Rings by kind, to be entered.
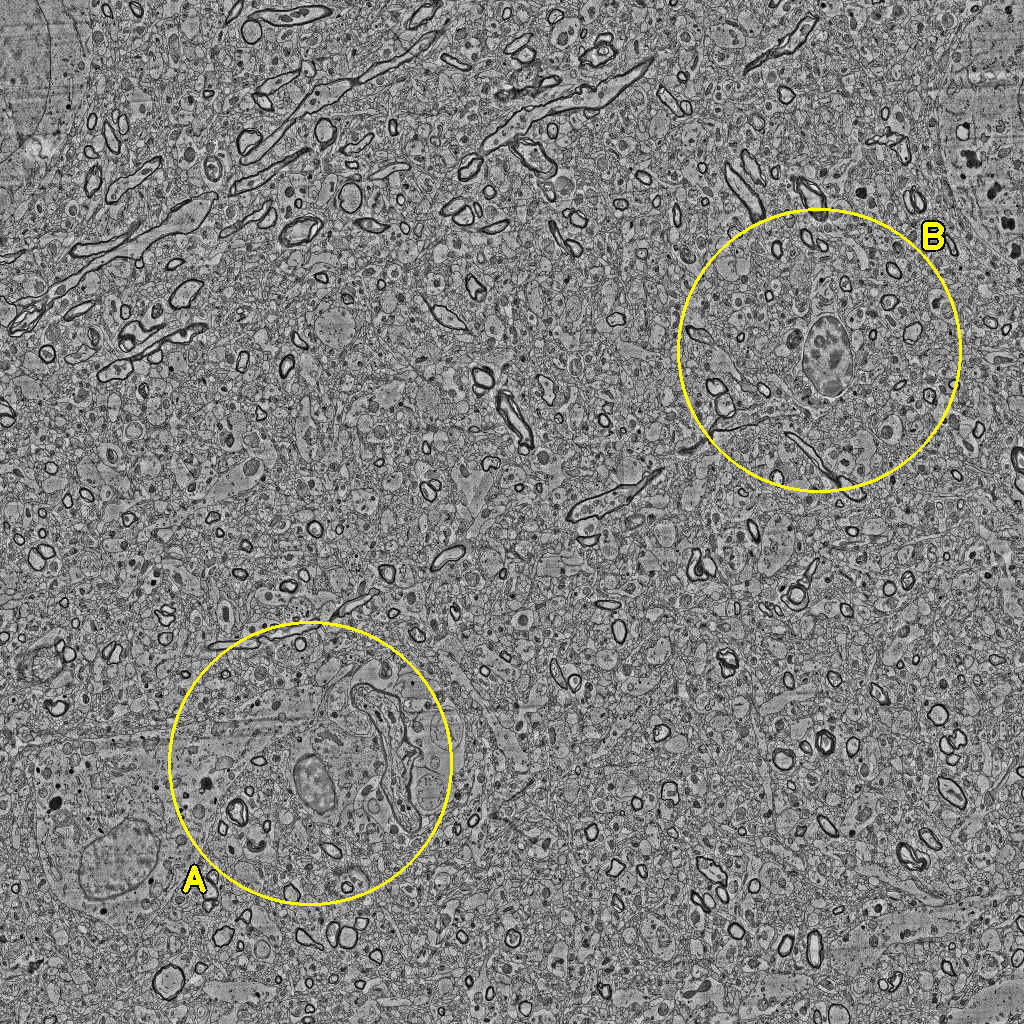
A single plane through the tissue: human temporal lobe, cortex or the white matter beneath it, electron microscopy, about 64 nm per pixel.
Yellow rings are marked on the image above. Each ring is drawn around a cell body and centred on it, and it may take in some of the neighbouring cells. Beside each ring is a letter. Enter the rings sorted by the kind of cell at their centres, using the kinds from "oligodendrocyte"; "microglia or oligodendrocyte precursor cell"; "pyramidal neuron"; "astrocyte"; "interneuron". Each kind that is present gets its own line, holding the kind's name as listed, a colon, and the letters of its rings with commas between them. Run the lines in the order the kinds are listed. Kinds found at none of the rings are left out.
oligodendrocyte: A
microglia or oligodendrocyte precursor cell: B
